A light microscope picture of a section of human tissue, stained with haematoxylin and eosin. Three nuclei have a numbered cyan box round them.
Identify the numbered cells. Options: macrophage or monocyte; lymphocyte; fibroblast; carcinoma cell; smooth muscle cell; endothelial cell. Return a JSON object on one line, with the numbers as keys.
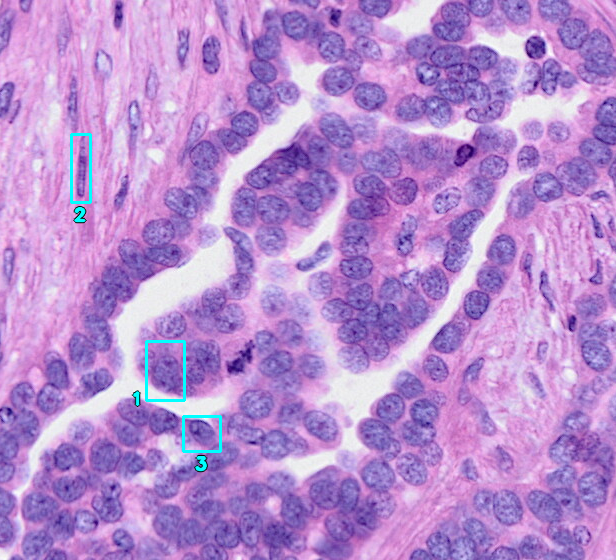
{"1": "carcinoma cell", "2": "fibroblast", "3": "carcinoma cell"}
